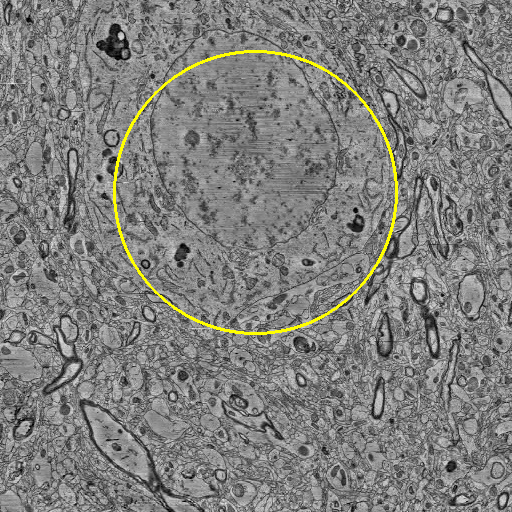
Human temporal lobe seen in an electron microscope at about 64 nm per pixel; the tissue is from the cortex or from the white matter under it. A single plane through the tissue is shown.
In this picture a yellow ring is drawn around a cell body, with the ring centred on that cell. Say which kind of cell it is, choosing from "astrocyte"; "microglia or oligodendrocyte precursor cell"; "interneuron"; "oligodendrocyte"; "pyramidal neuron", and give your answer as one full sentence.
Here it is a pyramidal neuron that sits at the centre of the drawn yellow ring.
